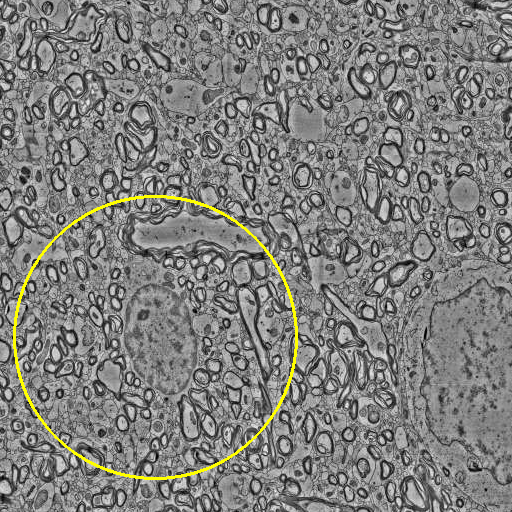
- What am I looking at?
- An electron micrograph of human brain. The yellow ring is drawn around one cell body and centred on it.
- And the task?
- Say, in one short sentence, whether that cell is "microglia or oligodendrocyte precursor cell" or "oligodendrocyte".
The cell in the middle of the ring is an oligodendrocyte.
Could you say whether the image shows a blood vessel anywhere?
No, the image shows no blood vessel.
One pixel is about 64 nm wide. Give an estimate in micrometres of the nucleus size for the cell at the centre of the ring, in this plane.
About 7 by 5 micrometers; the nucleus is clearly longer than it is wide in this plane.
